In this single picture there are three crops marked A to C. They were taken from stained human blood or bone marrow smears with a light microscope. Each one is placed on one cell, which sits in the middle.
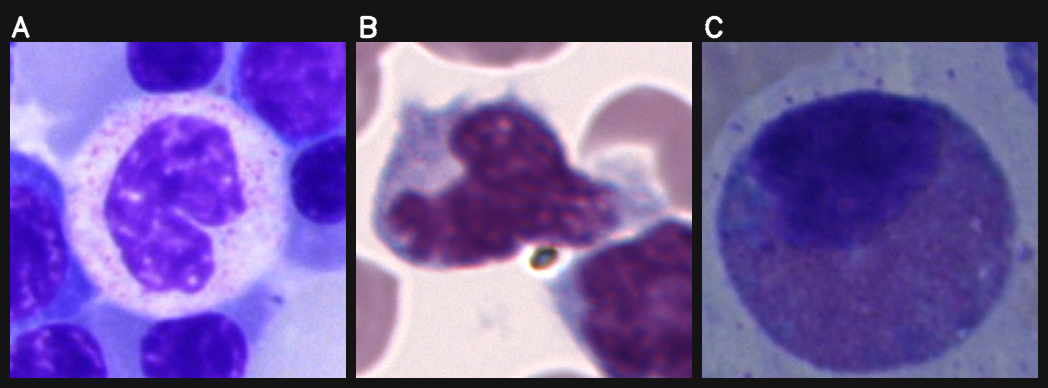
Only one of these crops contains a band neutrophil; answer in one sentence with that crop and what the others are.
Crop by crop: crop A is a band neutrophil, while crop B is a monocyte and crop C is an eosinophil.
